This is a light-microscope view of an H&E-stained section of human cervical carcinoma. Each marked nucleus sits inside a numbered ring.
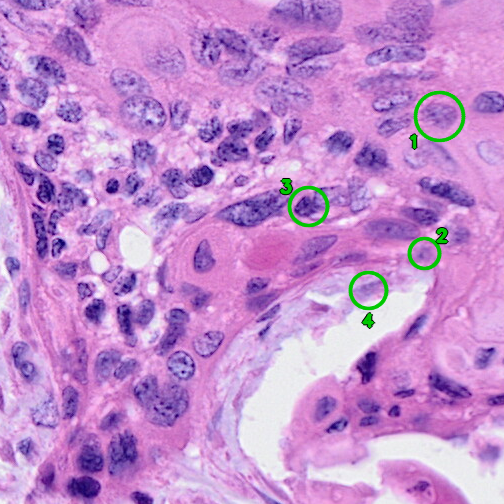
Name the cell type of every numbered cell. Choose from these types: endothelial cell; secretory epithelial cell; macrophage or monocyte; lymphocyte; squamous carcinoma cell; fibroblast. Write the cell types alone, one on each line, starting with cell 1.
squamous carcinoma cell
squamous carcinoma cell
squamous carcinoma cell
fibroblast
